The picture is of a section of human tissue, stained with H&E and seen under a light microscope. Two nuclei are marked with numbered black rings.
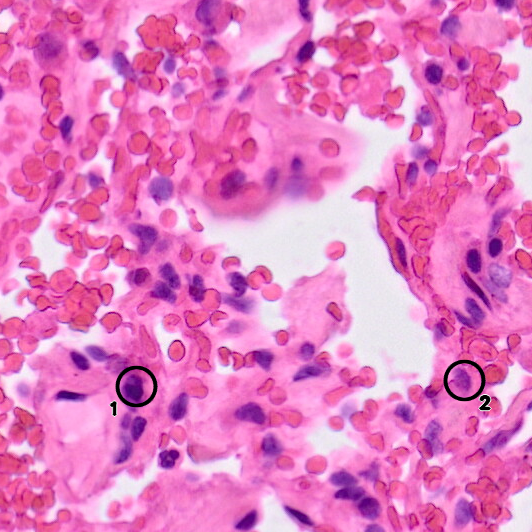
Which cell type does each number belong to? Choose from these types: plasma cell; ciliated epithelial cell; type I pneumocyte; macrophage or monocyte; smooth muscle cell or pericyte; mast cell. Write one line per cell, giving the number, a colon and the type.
1: plasma cell
2: type I pneumocyte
